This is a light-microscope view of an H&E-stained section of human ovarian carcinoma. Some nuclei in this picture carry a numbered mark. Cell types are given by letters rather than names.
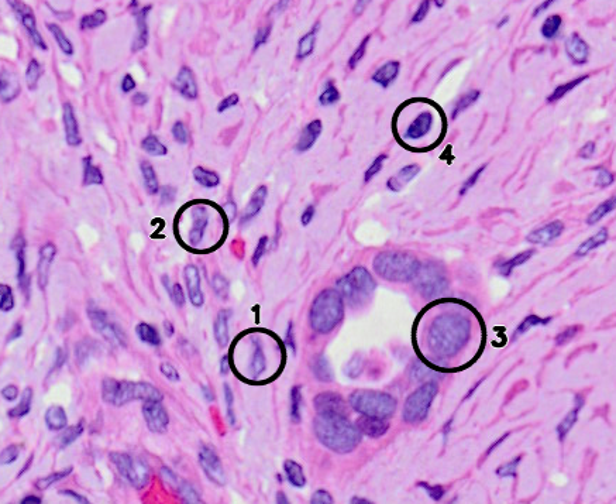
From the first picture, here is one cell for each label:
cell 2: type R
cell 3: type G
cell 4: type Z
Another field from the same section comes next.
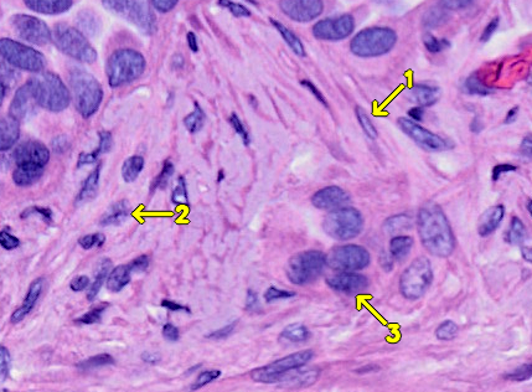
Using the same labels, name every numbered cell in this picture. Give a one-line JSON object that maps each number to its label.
{"1": "type R", "2": "type R", "3": "type G"}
